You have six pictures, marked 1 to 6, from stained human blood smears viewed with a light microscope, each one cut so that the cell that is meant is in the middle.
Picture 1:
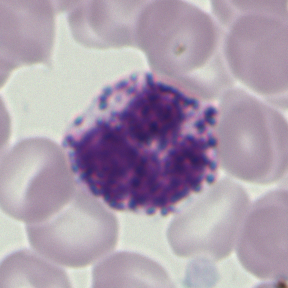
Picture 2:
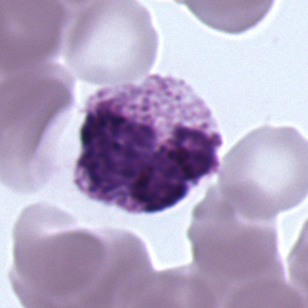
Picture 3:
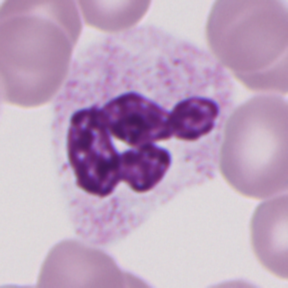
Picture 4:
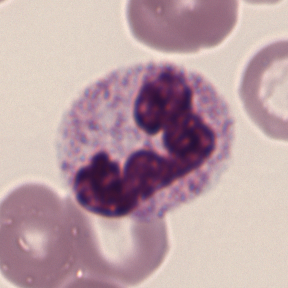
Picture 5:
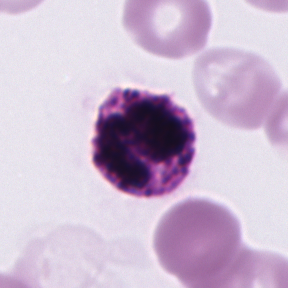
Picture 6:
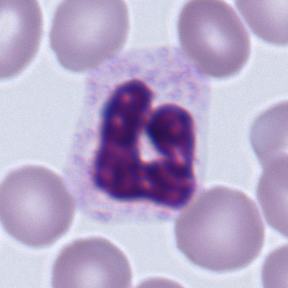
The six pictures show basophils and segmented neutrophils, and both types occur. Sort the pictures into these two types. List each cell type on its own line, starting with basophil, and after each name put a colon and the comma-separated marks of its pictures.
basophil: 1, 2, 5
segmented neutrophil: 3, 4, 6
